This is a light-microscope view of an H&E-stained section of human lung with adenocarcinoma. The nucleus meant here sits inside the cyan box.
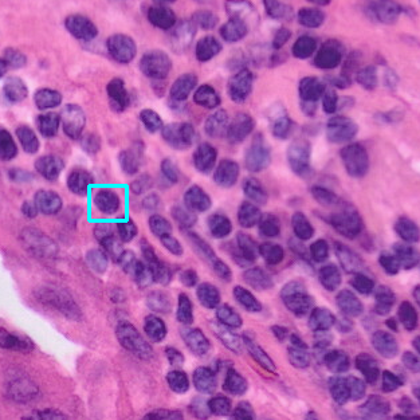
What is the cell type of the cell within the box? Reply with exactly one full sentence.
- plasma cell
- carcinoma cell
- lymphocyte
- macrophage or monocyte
As to its cell type, the cell within the box is a lymphocyte.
